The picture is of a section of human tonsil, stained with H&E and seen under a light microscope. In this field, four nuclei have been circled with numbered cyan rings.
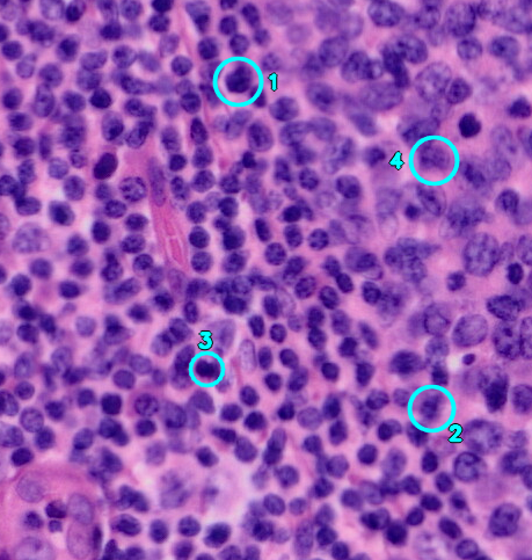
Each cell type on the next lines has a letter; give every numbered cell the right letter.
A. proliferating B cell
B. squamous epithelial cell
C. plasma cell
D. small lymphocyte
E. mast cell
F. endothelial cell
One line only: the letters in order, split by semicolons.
A; A; D; A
